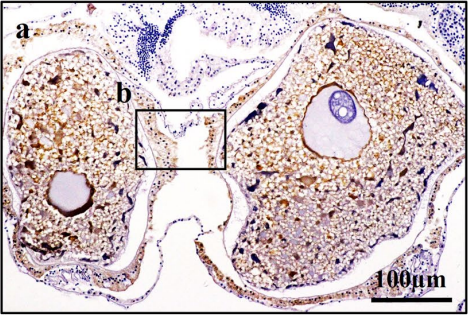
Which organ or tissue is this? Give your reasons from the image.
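Two large rounded cells with granular brown cytoplasm each hold a large pale round nucleus. Each large cell is enclosed in a thin tissue sheet.
Hence: ovarian tissues.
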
